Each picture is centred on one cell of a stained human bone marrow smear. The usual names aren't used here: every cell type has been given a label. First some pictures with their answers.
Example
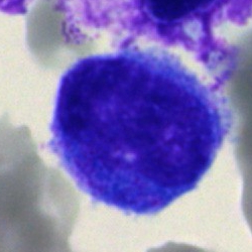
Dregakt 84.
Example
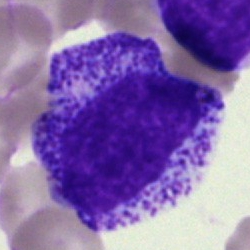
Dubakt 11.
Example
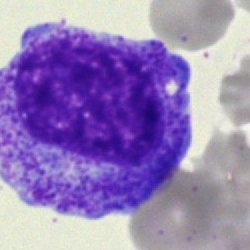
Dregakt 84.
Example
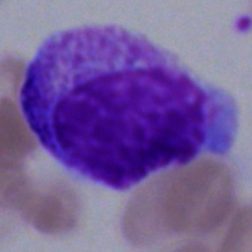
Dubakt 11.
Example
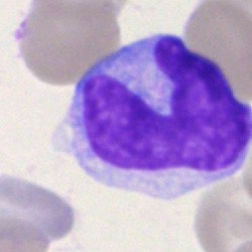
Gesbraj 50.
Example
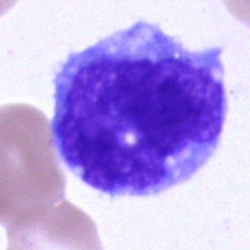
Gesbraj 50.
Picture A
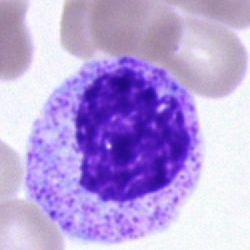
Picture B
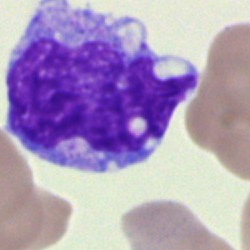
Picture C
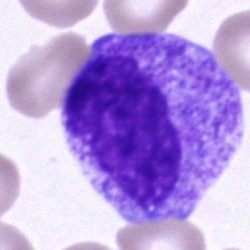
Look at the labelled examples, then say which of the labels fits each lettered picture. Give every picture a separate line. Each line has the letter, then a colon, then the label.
A: Dubakt 11.
B: Gesbraj 50.
C: Dregakt 84.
